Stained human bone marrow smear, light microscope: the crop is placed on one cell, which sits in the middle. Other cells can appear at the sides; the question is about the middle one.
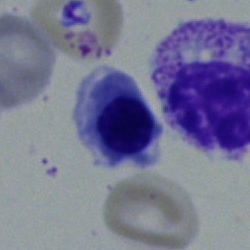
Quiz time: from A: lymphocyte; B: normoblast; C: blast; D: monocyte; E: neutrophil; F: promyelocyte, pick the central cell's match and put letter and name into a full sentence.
The correct option here is B; the middle cell is a normoblast.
